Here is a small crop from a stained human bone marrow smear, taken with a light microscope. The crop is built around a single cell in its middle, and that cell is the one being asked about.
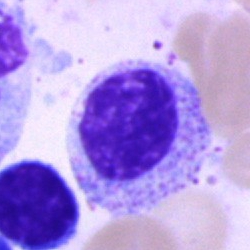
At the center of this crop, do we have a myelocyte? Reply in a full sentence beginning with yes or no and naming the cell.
Yes, the cell centred in the field of view is a myelocyte.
